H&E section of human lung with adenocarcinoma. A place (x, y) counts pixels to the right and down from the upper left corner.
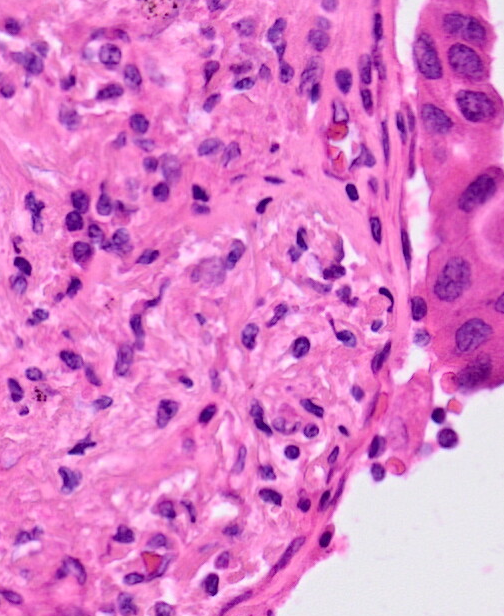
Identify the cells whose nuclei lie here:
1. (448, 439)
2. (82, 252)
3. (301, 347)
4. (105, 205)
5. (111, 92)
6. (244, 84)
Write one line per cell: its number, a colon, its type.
1: lymphocyte
2: plasma cell
3: lymphocyte
4: lymphocyte
5: plasma cell
6: lymphocyte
